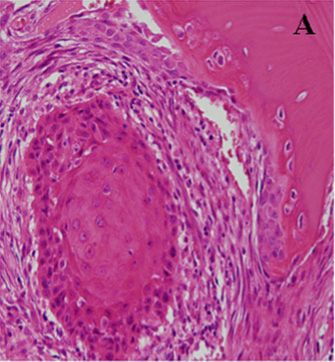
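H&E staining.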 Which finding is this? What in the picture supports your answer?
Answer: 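A nest of epithelial tumour cells lies in cellular stroma. Dense pink bone matrix with lacunae lies at the upper right, close beside the nest.
Answer: bone invasion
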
